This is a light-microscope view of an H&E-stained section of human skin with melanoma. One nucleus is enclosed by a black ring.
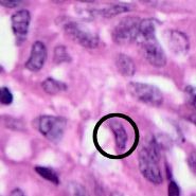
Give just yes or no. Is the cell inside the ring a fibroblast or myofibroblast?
no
